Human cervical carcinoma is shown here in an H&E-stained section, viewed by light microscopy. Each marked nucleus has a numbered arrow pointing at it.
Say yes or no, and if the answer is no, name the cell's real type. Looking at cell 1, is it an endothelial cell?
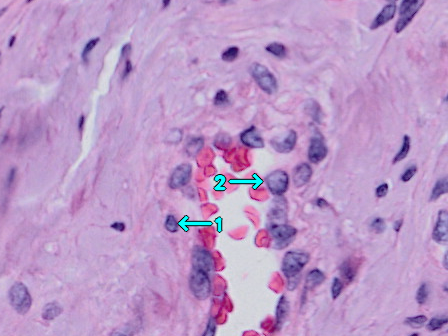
No, it is a smooth muscle cell.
